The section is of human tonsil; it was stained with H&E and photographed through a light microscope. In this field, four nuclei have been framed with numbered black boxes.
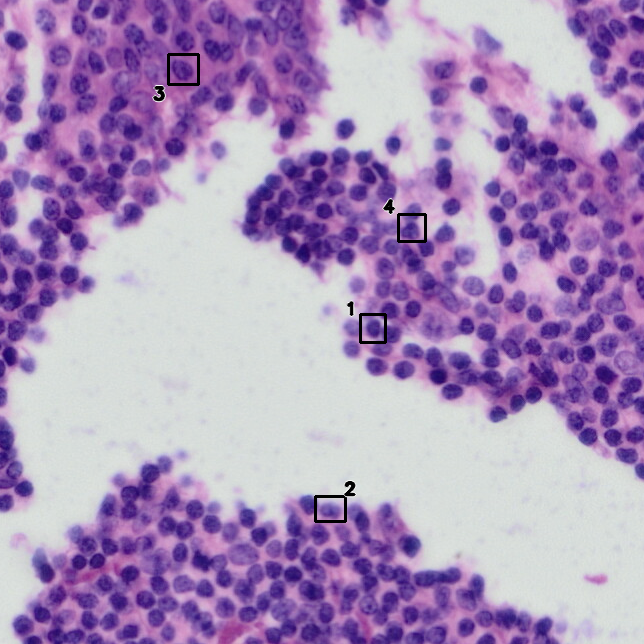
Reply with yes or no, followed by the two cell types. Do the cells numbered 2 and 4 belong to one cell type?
Yes, the pair formed by cells 2 and 4 consists of two small lymphocytes.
